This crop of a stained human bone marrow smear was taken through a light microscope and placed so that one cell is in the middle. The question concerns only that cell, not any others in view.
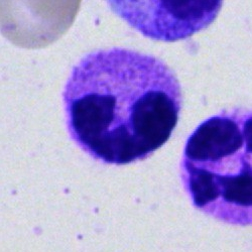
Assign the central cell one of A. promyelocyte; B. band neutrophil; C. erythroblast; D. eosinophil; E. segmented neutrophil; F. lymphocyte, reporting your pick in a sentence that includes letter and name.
This one is option E, since the cell at the center is a segmented neutrophil.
